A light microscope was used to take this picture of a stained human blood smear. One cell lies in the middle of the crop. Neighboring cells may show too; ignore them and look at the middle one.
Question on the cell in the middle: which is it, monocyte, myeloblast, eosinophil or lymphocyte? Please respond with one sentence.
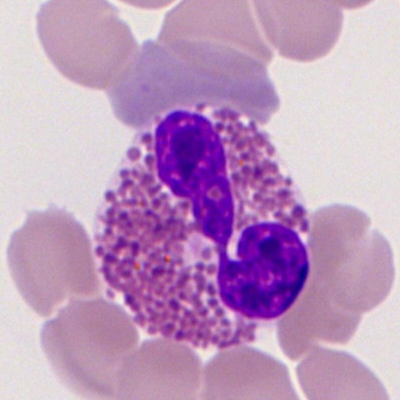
The cell nearest the centre of this crop is an eosinophil.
